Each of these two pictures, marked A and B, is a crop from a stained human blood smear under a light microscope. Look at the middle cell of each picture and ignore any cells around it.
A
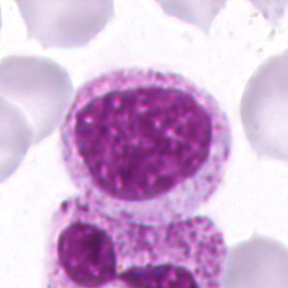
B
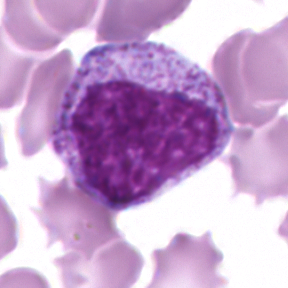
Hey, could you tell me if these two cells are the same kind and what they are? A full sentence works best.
Yes, both crops show myelocytes in their central position.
